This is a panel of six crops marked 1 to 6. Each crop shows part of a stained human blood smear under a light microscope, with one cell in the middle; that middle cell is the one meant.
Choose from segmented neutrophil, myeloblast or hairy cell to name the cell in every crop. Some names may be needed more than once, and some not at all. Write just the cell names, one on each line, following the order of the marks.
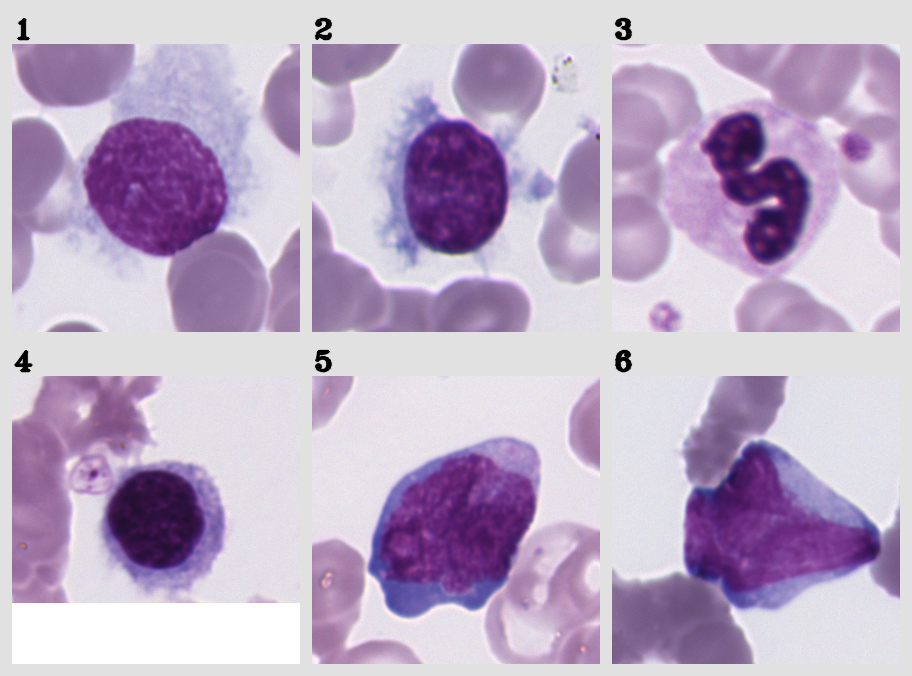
hairy cell
hairy cell
segmented neutrophil
hairy cell
myeloblast
myeloblast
